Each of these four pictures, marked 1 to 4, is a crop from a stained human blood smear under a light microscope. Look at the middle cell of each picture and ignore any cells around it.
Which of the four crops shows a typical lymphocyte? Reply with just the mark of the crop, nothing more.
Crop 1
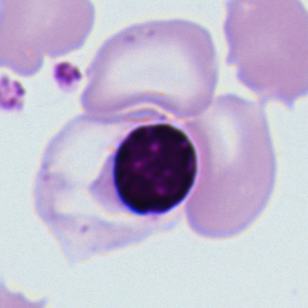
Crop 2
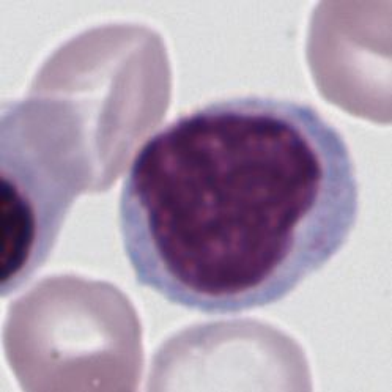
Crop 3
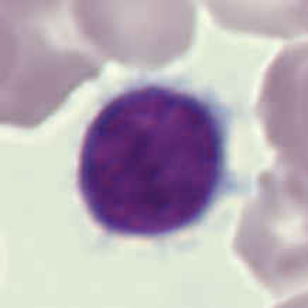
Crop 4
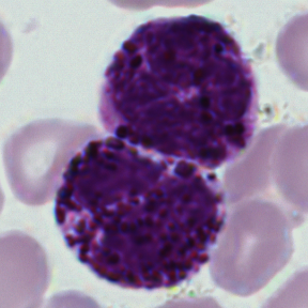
2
